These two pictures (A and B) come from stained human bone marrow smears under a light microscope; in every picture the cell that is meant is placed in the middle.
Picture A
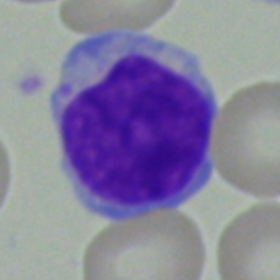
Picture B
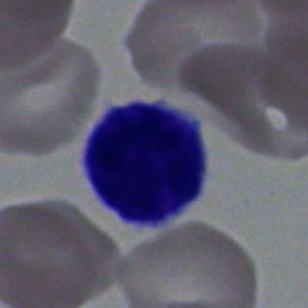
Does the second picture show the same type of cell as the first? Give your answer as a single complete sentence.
Yes, the two pictures both show lymphocytes.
